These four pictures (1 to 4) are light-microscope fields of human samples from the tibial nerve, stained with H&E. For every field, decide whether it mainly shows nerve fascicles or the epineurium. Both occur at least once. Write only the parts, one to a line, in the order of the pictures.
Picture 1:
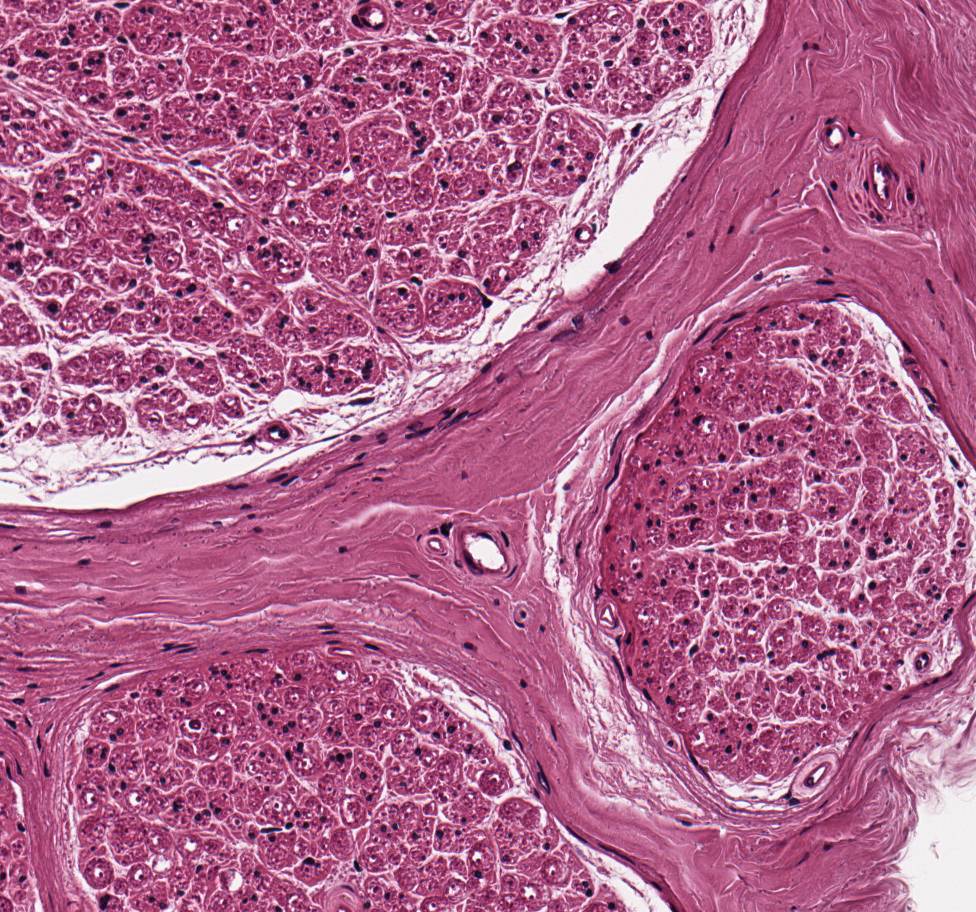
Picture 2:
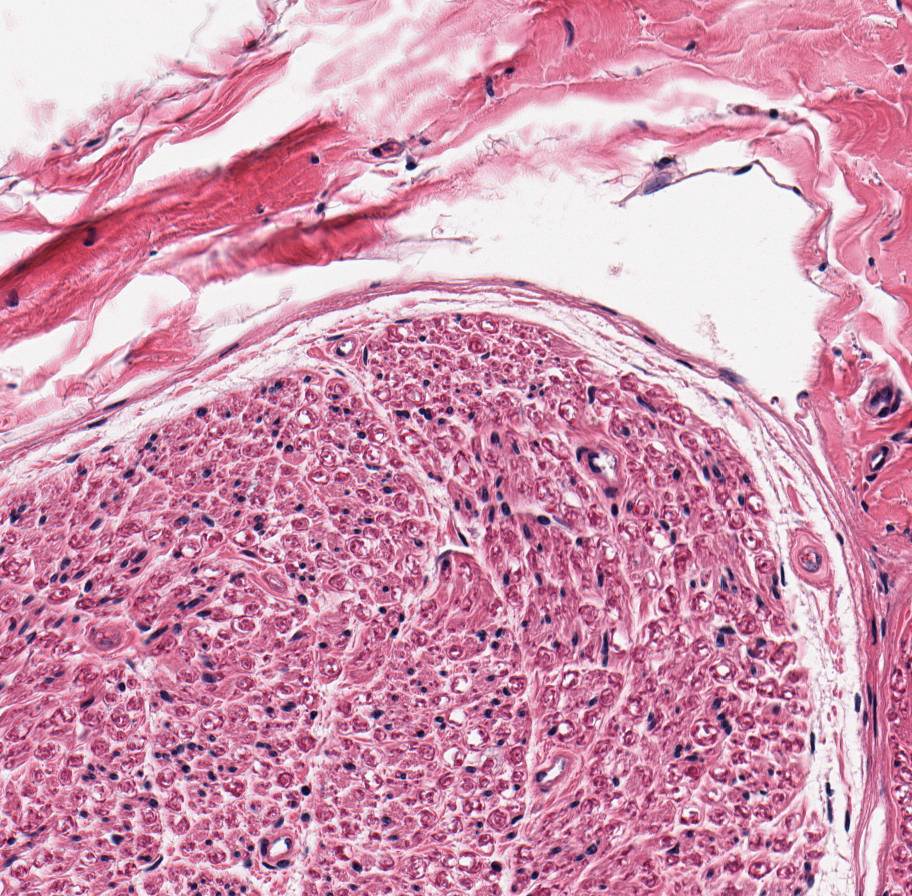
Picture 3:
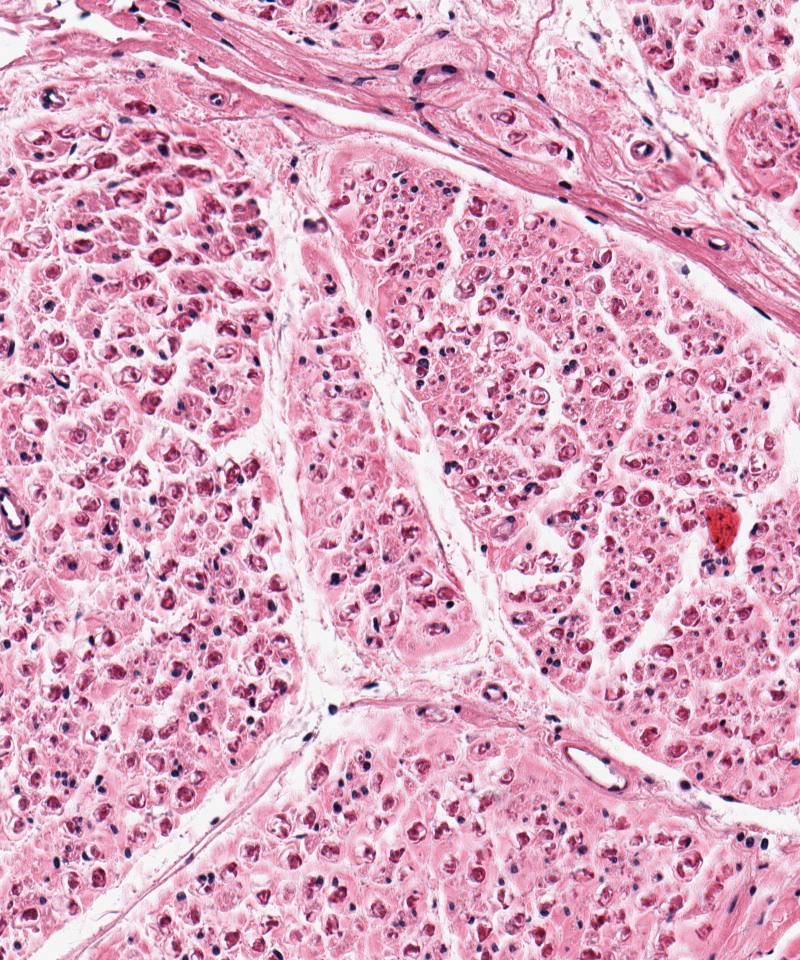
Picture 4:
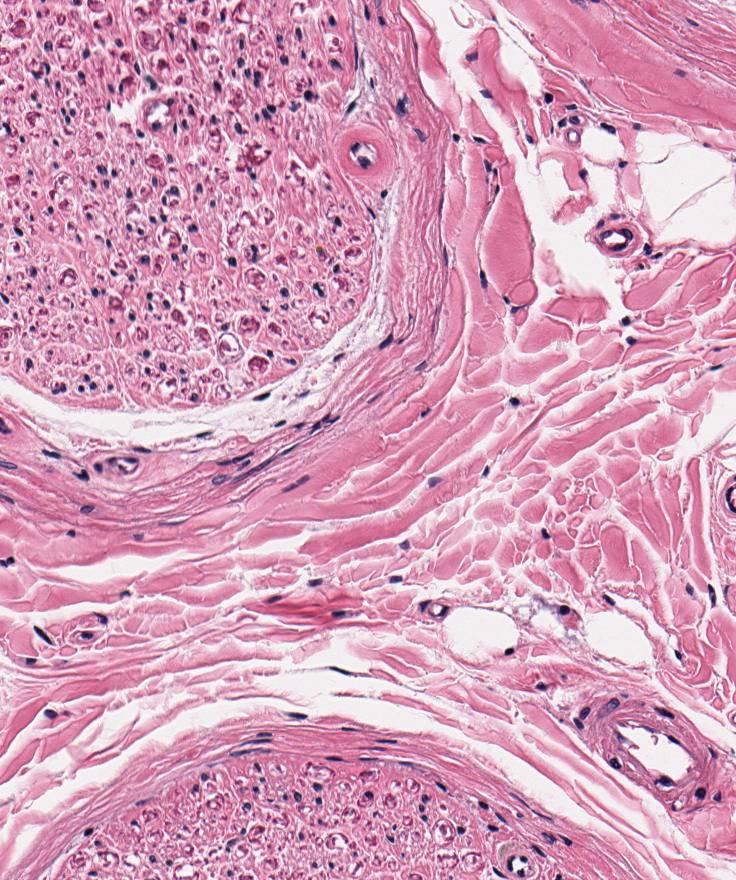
nerve fascicles
nerve fascicles
nerve fascicles
epineurium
